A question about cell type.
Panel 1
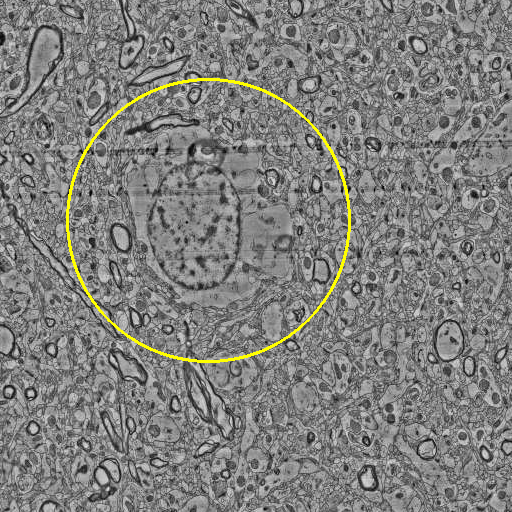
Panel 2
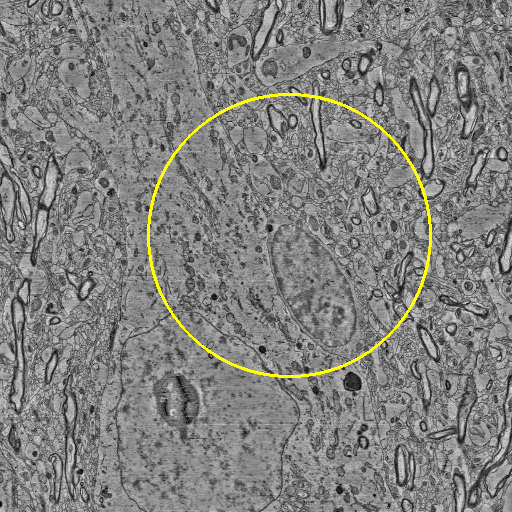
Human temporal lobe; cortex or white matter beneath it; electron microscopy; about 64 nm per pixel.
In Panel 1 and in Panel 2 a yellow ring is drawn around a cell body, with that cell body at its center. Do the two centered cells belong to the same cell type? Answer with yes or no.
no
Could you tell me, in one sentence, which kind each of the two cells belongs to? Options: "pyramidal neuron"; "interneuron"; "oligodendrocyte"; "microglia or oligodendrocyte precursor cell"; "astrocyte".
At the centre of the first ring sits an astrocyte, and at the centre of the second sits an oligodendrocyte.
